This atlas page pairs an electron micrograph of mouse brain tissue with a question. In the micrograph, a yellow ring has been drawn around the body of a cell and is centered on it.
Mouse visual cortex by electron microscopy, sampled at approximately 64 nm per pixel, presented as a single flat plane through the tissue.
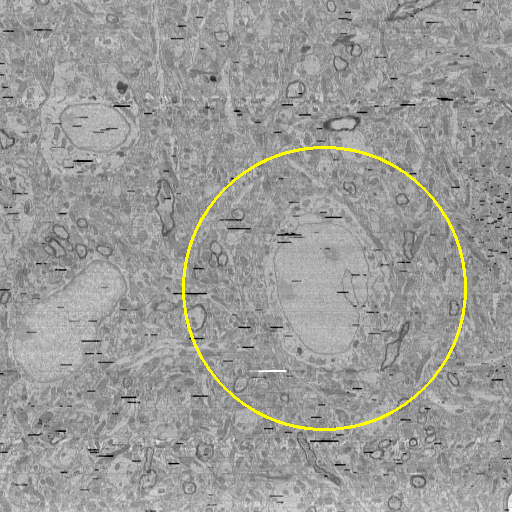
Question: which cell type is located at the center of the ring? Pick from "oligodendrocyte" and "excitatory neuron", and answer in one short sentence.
Located at the center of the ring is an excitatory neuron.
